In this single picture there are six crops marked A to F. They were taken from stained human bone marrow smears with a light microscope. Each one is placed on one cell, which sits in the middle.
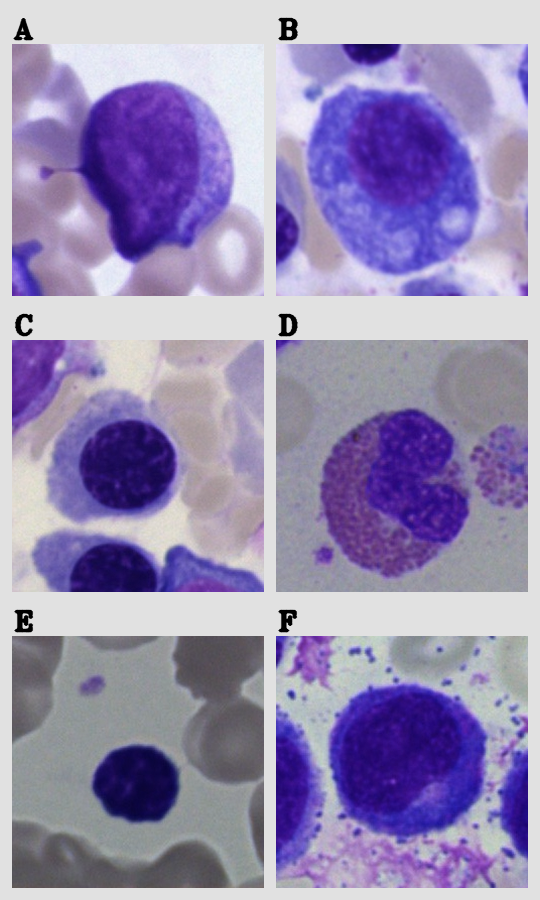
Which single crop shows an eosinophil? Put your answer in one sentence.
The cell identified as an eosinophil is the one in crop D.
